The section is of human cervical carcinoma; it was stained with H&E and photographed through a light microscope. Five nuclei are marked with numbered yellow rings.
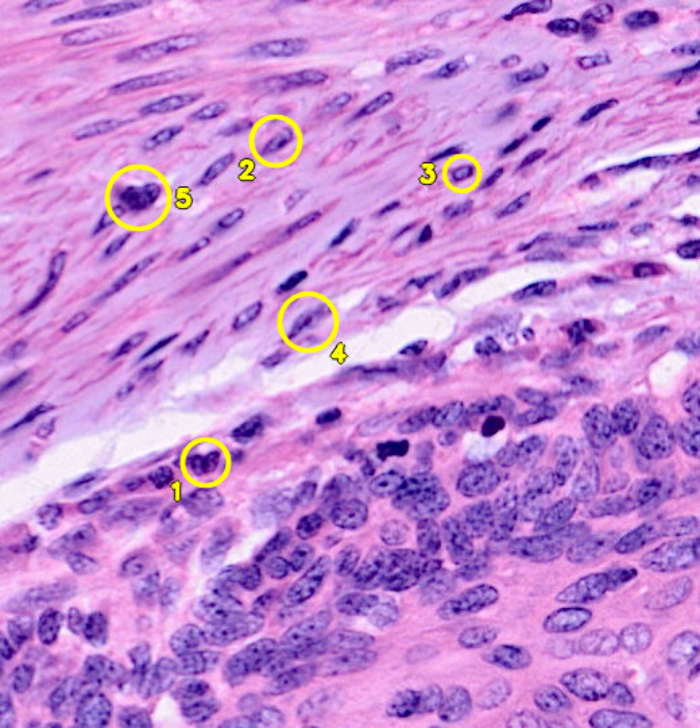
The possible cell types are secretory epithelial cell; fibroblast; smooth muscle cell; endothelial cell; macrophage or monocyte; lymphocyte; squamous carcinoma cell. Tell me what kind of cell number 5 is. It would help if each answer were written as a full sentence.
The label 5 in this section denotes a lymphocyte.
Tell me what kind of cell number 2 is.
Belonging to a smooth muscle cell is the nucleus that carries the number 2.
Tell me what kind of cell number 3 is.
The cell assigned the number 3 is a smooth muscle cell.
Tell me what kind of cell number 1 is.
The cell that is numbered 1 is a lymphocyte.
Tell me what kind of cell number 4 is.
It is as a fibroblast that the cell numbered 4 is identified.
